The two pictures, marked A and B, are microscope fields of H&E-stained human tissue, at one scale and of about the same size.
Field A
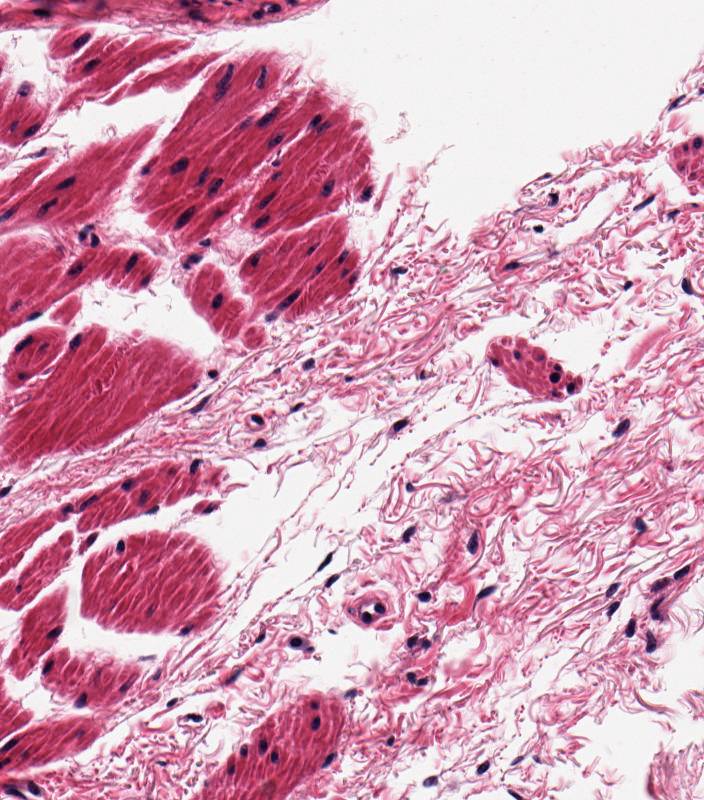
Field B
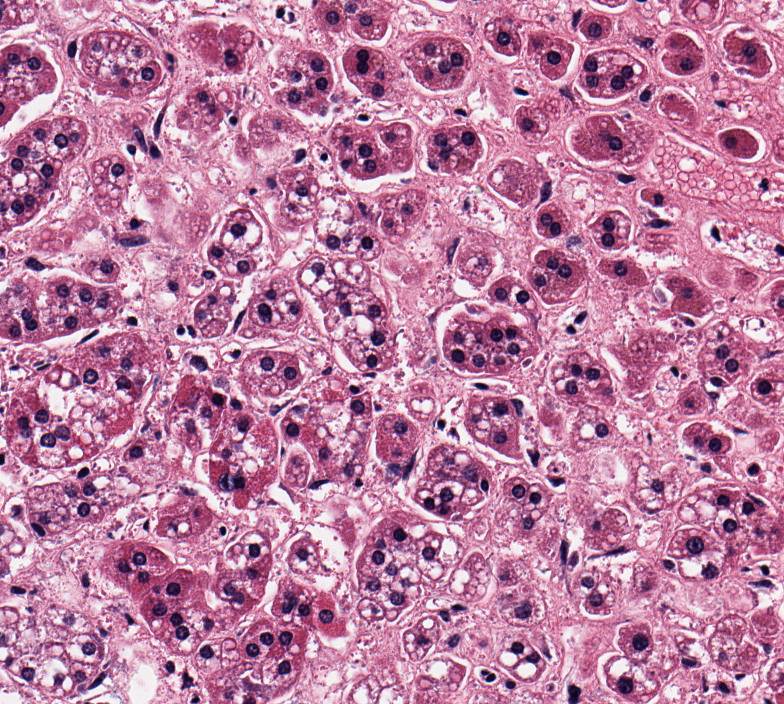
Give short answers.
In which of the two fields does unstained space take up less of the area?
B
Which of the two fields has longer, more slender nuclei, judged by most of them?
A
